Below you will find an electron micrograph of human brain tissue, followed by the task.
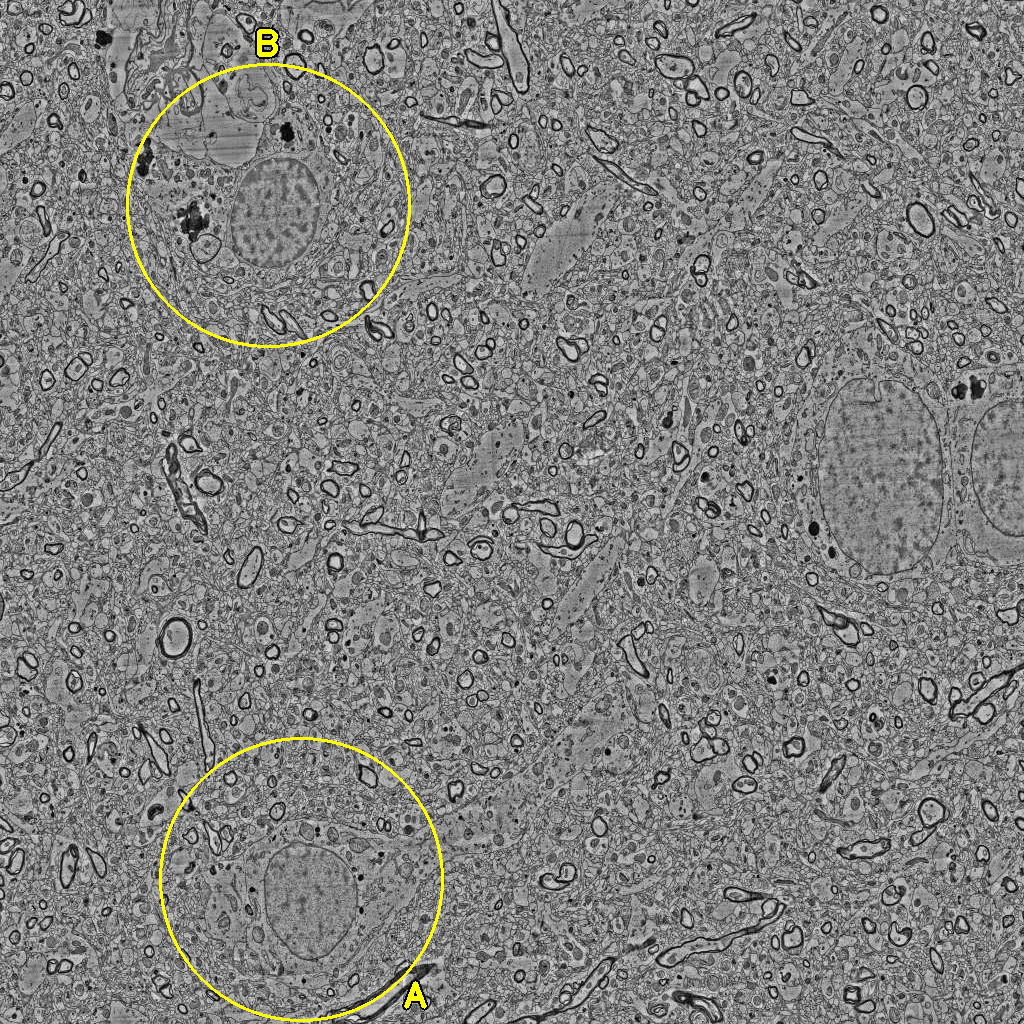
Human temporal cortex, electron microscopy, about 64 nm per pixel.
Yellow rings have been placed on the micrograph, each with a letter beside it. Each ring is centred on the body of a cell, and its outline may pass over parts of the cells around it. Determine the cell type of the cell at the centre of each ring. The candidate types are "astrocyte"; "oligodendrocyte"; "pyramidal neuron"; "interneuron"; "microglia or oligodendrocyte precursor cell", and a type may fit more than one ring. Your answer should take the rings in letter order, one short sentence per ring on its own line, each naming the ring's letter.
The centre of ring A falls on a pyramidal neuron.
The centre of ring B falls on an oligodendrocyte.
